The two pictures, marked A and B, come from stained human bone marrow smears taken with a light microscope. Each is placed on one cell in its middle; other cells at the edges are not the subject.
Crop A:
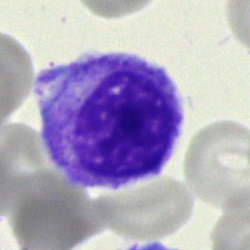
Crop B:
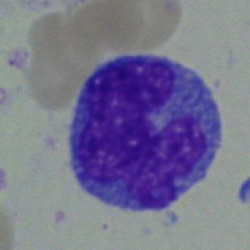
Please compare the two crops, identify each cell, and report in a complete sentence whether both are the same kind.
No, crop A displays a myelocyte and crop B displays a monocyte.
